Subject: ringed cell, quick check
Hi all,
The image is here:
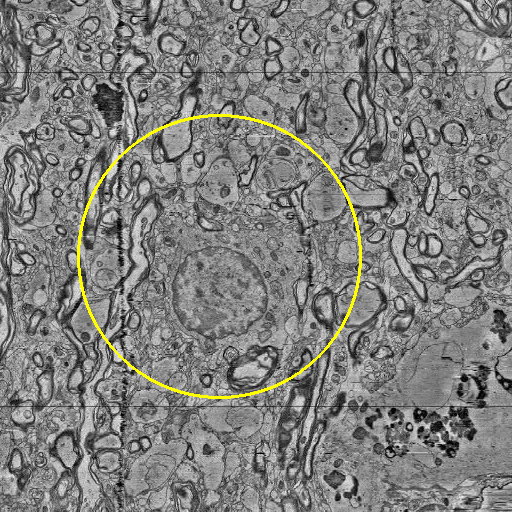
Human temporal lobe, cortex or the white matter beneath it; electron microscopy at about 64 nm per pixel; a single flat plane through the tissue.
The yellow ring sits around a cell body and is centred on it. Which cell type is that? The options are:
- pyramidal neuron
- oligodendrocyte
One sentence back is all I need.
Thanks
That ringed cell is an oligodendrocyte.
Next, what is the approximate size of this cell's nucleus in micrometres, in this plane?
About 6 micrometers across, in this plane.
